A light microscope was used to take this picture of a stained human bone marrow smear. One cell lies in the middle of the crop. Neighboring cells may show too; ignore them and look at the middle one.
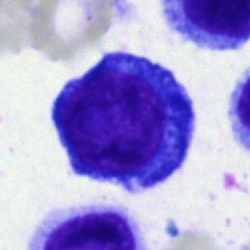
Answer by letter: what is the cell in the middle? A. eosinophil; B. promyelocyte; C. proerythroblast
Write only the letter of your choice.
C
